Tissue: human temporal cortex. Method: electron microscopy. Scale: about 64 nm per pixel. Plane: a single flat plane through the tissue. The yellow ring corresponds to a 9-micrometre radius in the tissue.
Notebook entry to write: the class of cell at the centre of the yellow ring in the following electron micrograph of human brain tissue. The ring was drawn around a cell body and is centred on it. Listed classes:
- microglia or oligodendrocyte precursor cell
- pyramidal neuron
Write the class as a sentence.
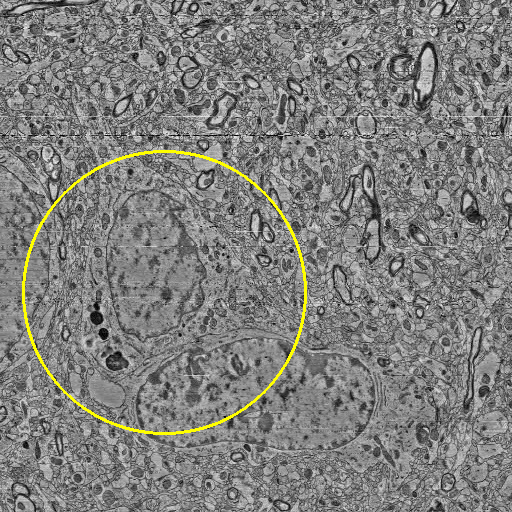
The yellow ring sits on a pyramidal neuron.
